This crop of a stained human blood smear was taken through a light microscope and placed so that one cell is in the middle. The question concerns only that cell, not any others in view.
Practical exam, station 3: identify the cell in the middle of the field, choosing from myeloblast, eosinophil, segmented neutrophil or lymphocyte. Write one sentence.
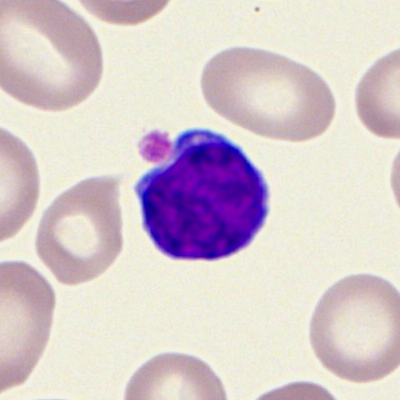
Positioned in the middle of the crop is a lymphocyte.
